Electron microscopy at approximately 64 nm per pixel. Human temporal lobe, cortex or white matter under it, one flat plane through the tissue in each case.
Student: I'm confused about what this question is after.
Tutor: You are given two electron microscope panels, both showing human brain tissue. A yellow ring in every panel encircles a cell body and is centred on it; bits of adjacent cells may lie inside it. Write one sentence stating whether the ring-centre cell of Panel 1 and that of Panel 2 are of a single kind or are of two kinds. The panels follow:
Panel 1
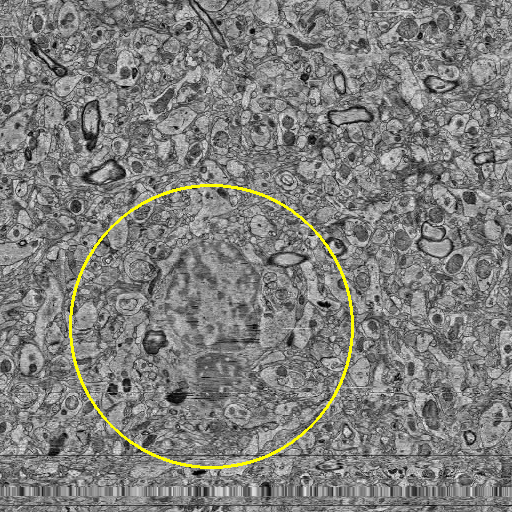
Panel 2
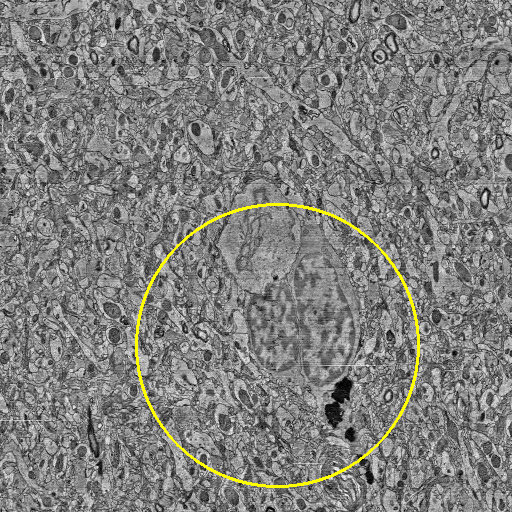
Here, the Panel 1 ring-centre cell and the Panel 2 ring-centre cell are of a single kind.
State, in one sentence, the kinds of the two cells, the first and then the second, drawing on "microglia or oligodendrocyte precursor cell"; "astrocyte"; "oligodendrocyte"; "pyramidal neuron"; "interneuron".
Each of the ringed cells, first and second, is an oligodendrocyte.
